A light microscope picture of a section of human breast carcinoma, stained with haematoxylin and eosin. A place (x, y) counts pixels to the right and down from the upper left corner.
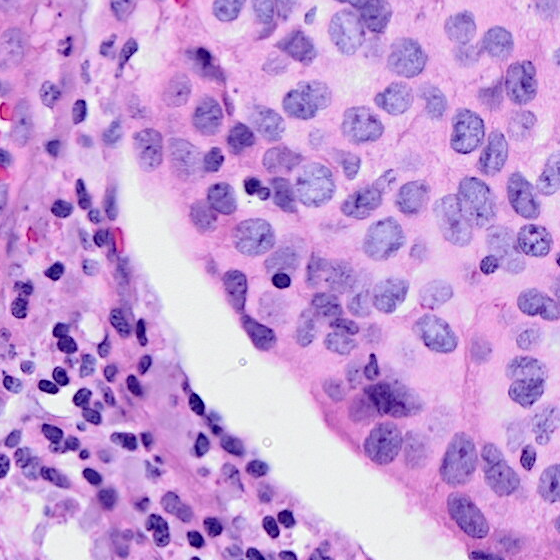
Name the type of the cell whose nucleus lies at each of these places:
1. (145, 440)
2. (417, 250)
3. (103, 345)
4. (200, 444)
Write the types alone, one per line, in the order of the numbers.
lymphocyte
carcinoma cell
lymphocyte
lymphocyte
